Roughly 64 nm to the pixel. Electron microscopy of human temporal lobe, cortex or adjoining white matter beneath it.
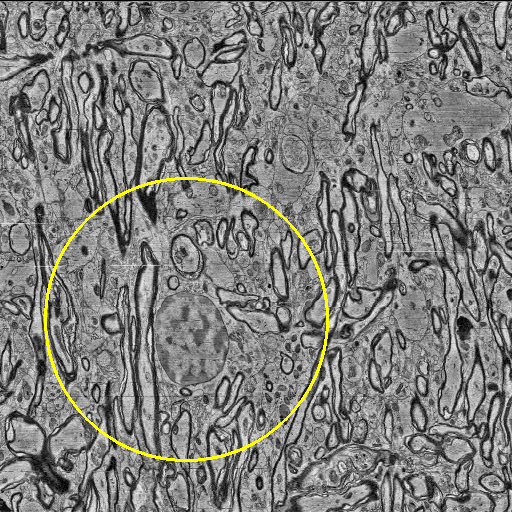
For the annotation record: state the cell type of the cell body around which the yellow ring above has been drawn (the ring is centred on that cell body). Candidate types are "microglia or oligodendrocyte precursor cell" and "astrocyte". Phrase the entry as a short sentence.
The ringed cell is a microglial cell or oligodendrocyte precursor cell.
